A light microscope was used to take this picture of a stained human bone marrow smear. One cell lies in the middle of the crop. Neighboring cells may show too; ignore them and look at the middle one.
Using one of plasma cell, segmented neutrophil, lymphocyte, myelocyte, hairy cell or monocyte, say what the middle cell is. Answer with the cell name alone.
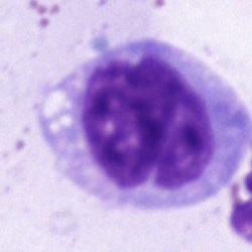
monocyte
